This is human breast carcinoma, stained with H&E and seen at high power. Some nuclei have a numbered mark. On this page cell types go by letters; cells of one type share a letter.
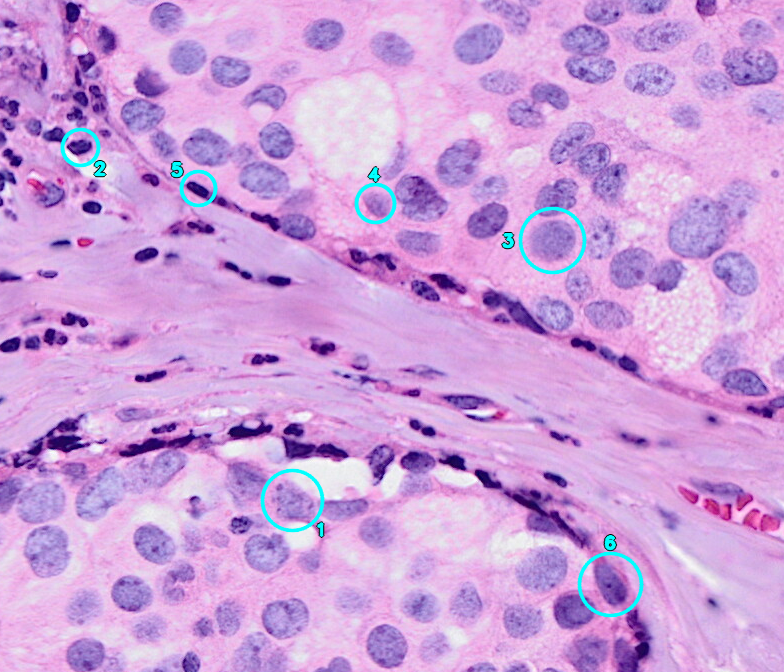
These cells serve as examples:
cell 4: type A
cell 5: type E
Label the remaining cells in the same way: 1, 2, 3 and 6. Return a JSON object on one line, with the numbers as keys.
{"1": "type A", "2": "type E", "3": "type A", "6": "type A"}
